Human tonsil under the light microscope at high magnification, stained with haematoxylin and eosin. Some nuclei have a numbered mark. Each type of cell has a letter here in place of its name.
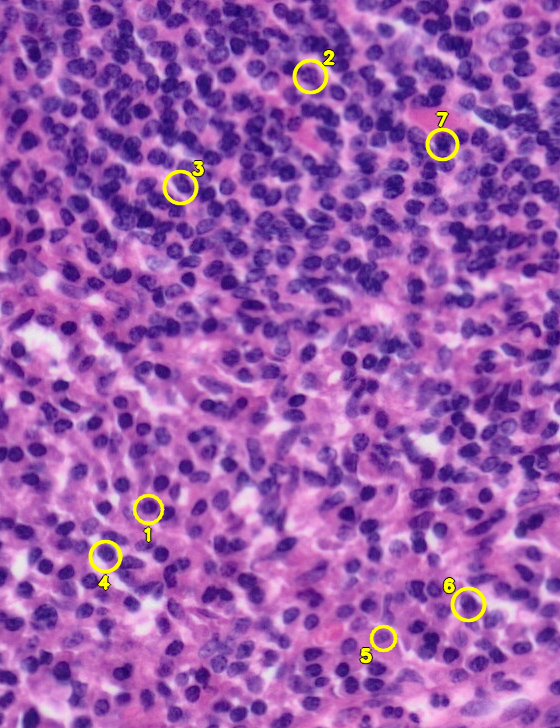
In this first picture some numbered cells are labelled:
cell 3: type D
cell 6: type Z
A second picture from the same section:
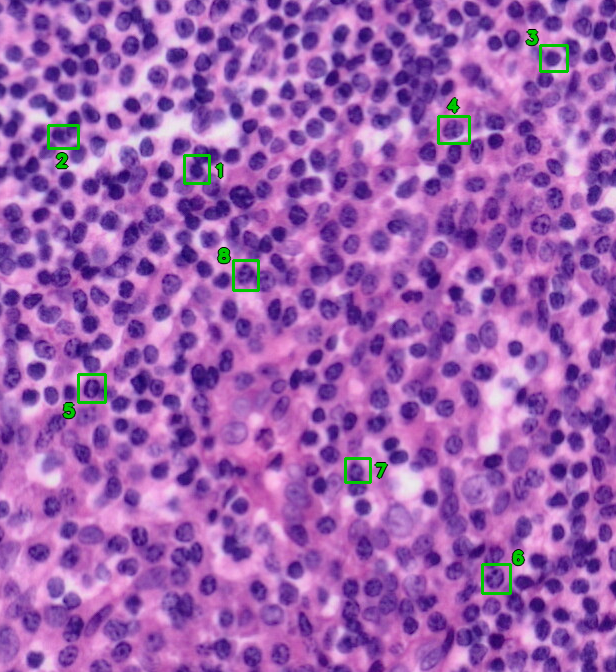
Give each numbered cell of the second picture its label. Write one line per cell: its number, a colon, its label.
1: type D
2: type D
3: type D
4: type Z
5: type Z
6: type Z
7: type Z
8: type Z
